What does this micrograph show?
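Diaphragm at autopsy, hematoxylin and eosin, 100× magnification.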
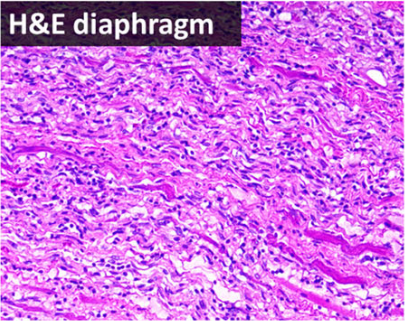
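The field is filled with wavy, streaming pink strands running roughly in one direction, with countless small dark purple nuclei scattered densely among them. A few brighter pink streaks may be remnants of fibers, and a small clear space lies near one edge. Compared with normal muscle, where broad pink fibers sit neatly side by side with nuclei at their edges, the architecture here is effaced by cells.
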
